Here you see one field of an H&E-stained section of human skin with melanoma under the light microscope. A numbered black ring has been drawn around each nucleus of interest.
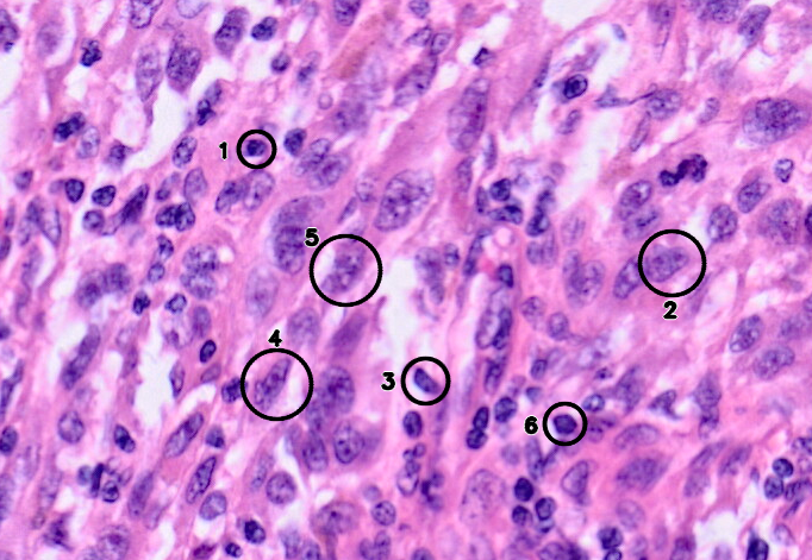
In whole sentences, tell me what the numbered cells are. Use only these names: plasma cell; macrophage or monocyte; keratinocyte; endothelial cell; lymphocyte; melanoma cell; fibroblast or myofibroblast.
Cells 1, 3 and 6 are lymphocytes. Cells 2, 4 and 5 are melanoma cells.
